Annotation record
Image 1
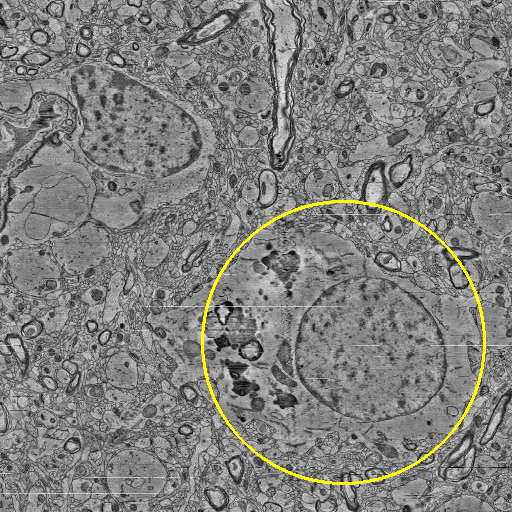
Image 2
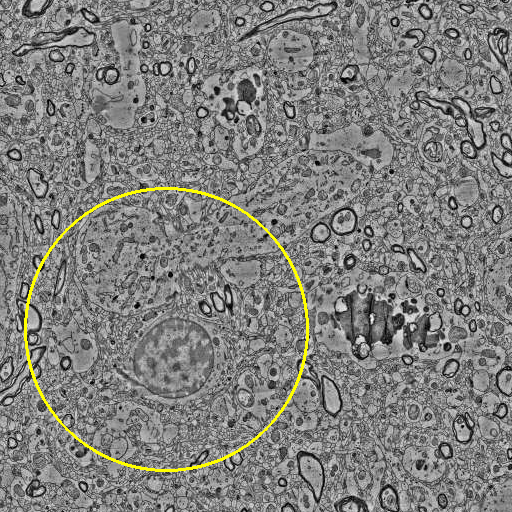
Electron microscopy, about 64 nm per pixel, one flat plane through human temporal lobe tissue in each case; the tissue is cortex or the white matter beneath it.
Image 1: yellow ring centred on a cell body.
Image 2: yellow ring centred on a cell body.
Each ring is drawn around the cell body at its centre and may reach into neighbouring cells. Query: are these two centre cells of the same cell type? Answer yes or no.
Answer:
no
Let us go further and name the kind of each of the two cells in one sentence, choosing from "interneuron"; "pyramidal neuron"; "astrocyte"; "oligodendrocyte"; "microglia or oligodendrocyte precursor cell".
The ring of the first picture is on an astrocyte, the ring of the second on an oligodendrocyte.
